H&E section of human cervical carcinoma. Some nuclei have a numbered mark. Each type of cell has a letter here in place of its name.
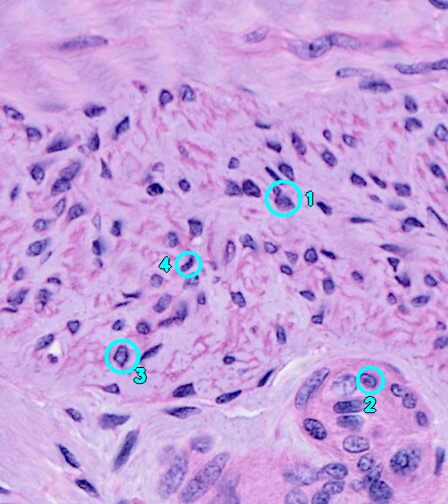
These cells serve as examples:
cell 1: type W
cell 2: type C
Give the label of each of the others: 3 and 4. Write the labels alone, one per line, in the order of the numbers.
type C
type C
